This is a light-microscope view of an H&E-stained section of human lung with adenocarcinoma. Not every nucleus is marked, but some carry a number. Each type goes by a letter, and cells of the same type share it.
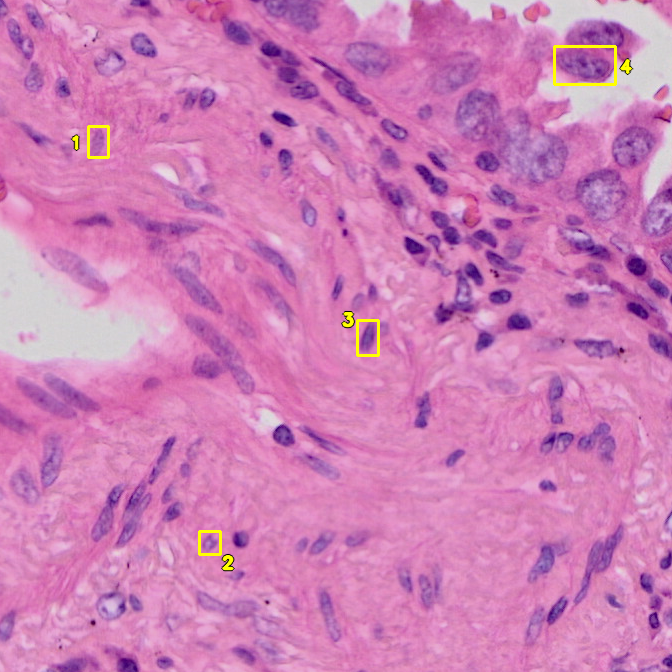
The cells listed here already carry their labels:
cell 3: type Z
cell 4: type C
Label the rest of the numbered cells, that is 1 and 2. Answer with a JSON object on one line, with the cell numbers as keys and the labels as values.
{"1": "type Z", "2": "type Z"}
